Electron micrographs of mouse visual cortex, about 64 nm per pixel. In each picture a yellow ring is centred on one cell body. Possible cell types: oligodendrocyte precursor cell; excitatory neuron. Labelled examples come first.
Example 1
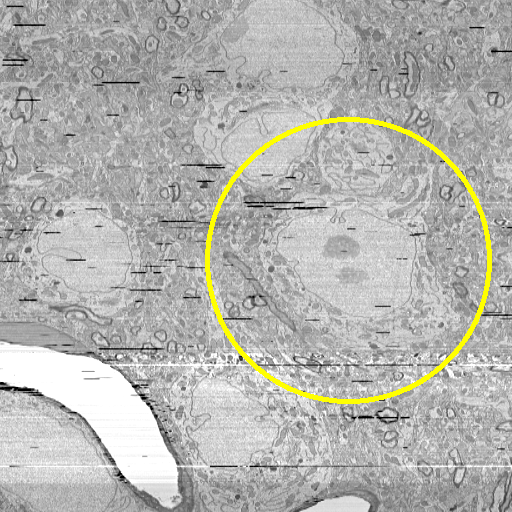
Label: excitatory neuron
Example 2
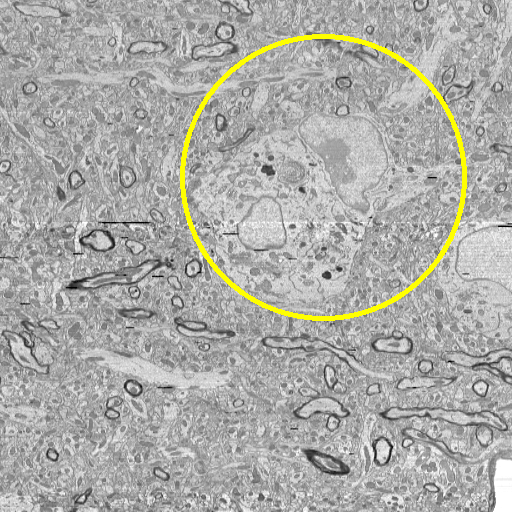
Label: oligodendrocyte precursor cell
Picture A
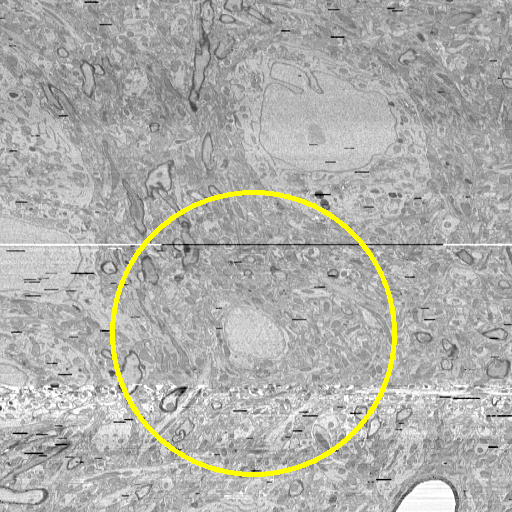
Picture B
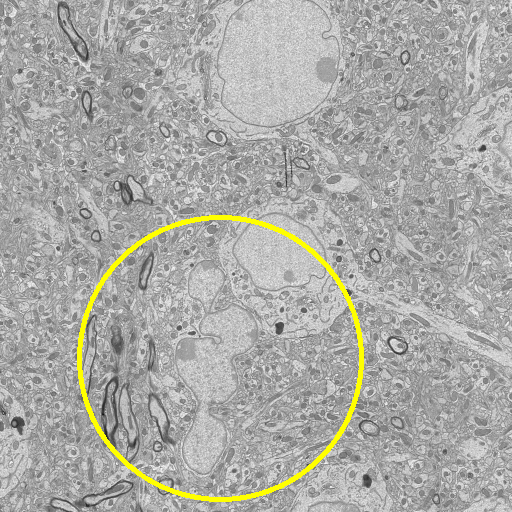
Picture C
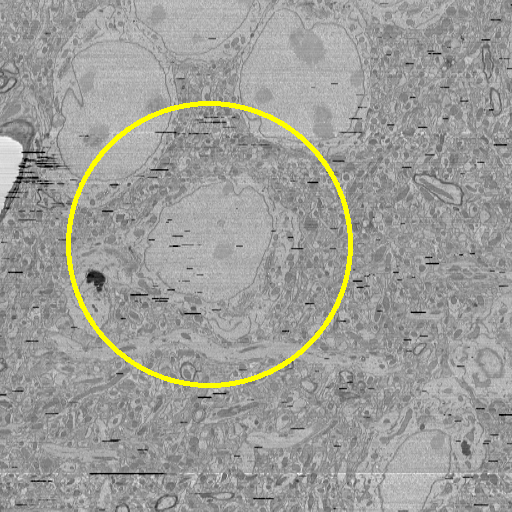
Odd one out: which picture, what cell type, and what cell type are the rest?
C differs and shows excitatory neuron; the others show oligodendrocyte precursor cell.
